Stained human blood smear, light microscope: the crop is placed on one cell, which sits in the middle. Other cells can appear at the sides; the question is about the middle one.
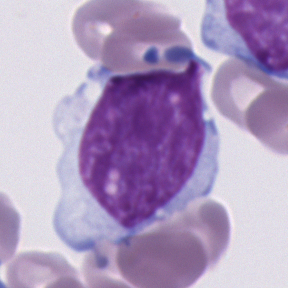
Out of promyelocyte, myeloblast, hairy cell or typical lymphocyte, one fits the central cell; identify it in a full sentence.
The crop centres on a single cell, and that cell is a myeloblast.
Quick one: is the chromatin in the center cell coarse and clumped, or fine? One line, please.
Check the chromatin: it is fine and not coarsely clumped.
